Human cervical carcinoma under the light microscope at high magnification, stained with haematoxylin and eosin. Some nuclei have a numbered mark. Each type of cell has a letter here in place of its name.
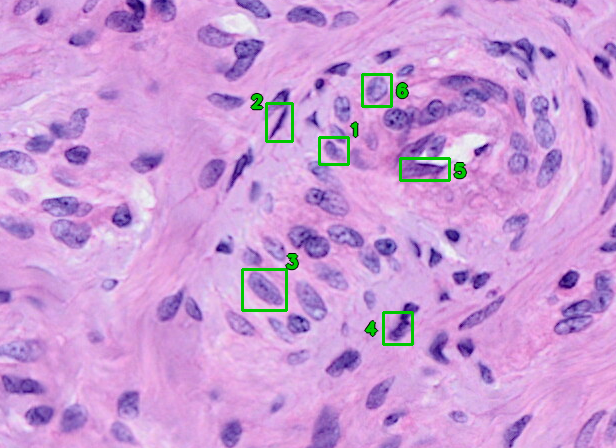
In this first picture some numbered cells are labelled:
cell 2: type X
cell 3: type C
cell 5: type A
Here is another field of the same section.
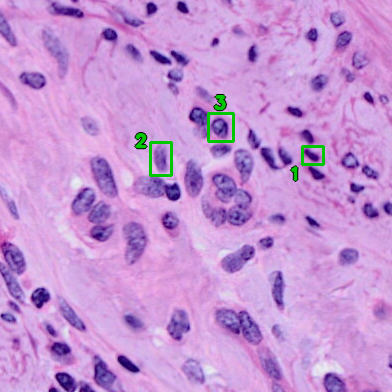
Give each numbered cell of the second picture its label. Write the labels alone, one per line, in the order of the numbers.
type C
type X
type A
